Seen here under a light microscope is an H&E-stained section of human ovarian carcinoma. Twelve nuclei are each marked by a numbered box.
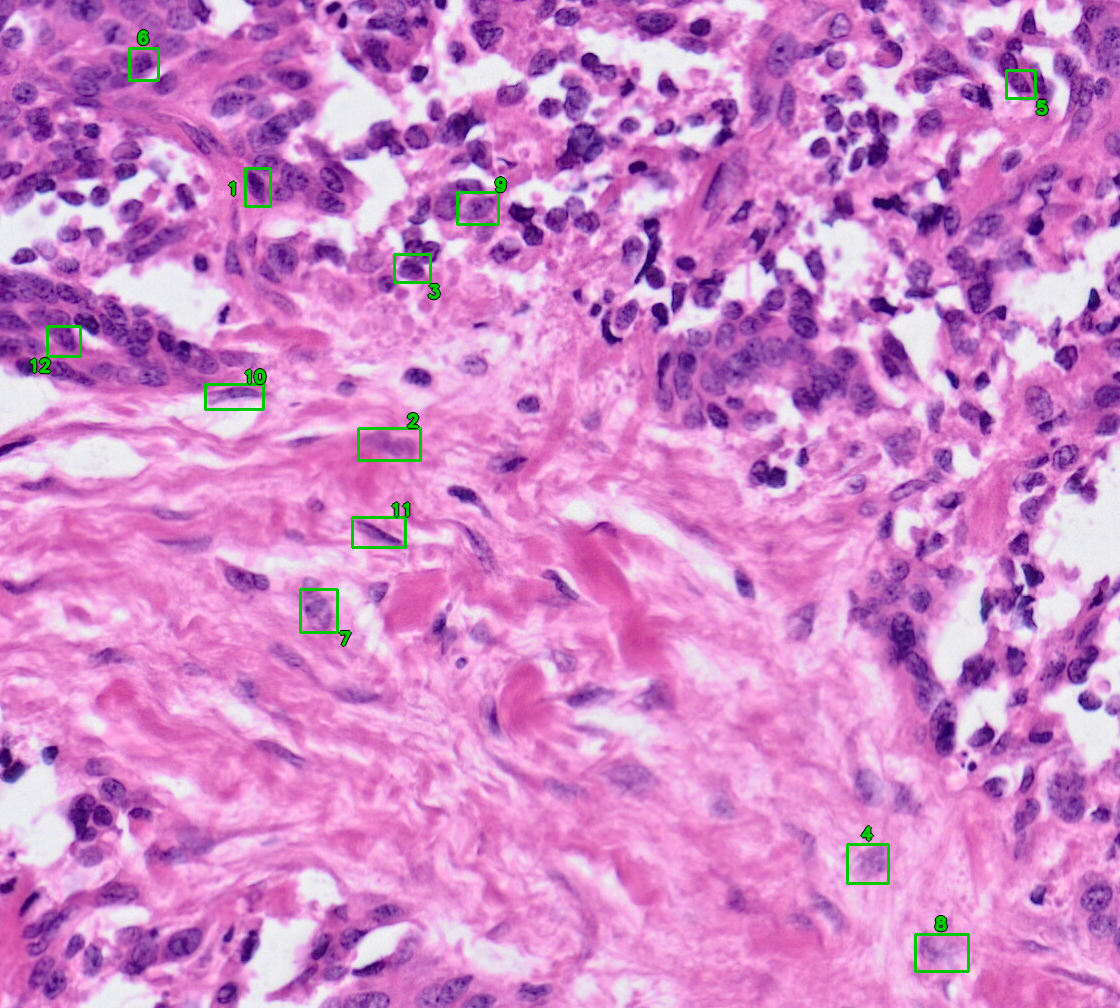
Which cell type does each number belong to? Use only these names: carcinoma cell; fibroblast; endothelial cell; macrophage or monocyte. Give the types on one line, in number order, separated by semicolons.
carcinoma cell; fibroblast; carcinoma cell; fibroblast; carcinoma cell; carcinoma cell; fibroblast; fibroblast; carcinoma cell; fibroblast; fibroblast; carcinoma cell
